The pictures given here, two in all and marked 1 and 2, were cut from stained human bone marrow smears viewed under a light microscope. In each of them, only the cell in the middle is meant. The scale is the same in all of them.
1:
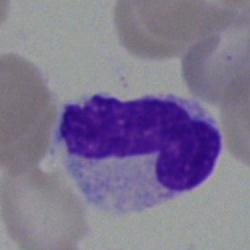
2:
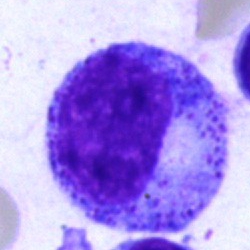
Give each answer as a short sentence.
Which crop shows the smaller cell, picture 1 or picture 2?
The cell in picture 1 is smaller; the one in picture 2 has about 1.5 times its area.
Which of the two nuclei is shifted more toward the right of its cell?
The nucleus in picture 1 lies further toward the right of its cell.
